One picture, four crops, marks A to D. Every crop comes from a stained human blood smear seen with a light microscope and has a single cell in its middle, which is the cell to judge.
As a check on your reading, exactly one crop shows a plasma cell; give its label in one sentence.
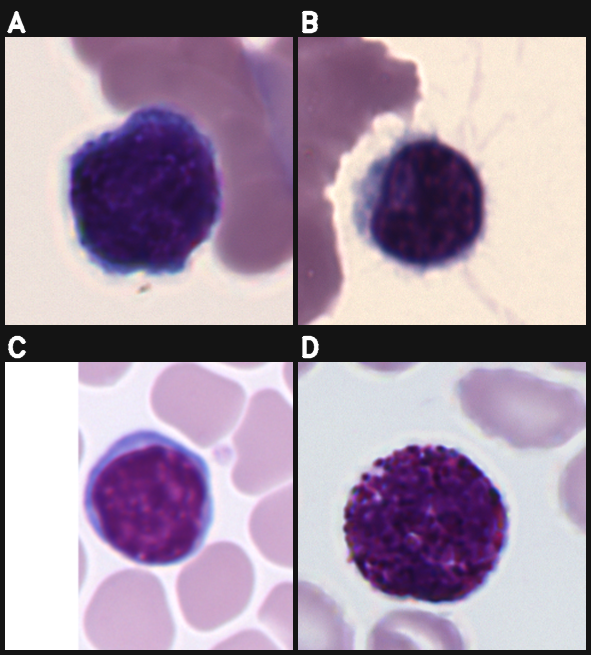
The sole crop showing a plasma cell is crop A.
